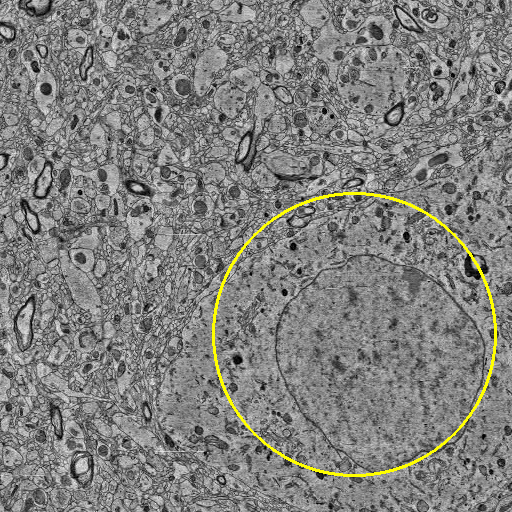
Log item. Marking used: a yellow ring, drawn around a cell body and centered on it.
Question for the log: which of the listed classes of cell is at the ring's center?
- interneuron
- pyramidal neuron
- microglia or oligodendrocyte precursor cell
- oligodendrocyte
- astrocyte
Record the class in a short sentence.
At the center of the ring lies a pyramidal neuron.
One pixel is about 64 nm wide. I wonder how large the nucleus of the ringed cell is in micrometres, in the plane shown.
Approximately 14 micrometers across in this plane.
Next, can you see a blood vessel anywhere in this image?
No, none shows.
